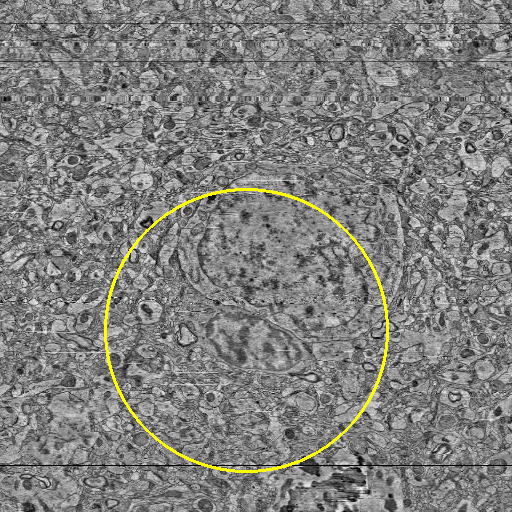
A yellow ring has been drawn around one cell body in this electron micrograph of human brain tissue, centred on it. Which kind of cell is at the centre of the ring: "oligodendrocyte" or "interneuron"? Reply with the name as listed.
oligodendrocyte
